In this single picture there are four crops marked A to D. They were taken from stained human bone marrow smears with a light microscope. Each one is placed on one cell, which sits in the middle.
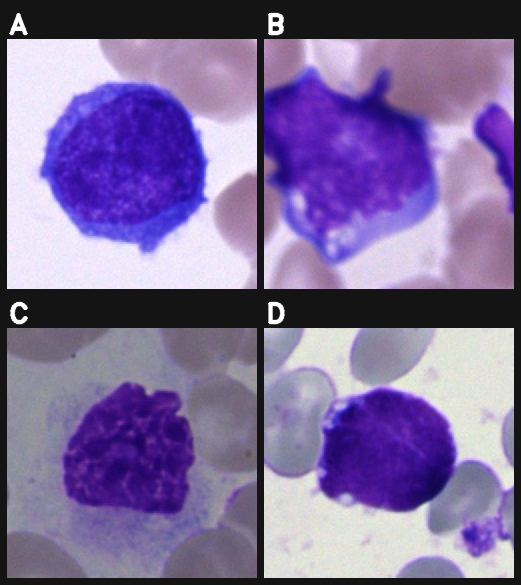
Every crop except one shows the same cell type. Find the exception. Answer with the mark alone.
C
